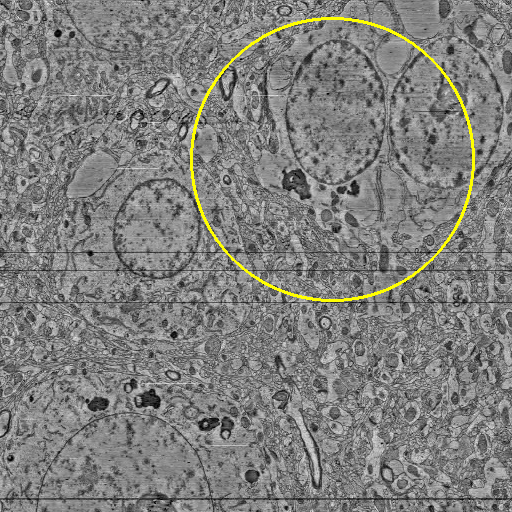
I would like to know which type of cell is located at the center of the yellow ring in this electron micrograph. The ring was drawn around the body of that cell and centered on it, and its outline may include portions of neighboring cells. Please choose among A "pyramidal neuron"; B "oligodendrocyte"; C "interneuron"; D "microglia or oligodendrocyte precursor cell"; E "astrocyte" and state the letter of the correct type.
E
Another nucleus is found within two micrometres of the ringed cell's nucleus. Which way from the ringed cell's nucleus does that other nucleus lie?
The other nucleus sits to the right of it.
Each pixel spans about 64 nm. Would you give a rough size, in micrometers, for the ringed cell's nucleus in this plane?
The nucleus of the ringed cell is approximately 9 by 6 micrometres in this plane.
